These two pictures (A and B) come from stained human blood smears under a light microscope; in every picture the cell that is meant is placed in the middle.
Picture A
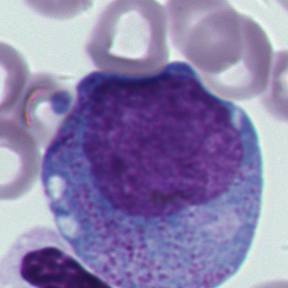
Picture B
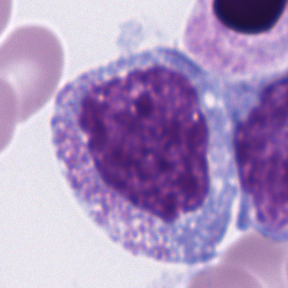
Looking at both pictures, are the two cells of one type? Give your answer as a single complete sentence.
Yes, they are the same type: both are promyelocytes.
